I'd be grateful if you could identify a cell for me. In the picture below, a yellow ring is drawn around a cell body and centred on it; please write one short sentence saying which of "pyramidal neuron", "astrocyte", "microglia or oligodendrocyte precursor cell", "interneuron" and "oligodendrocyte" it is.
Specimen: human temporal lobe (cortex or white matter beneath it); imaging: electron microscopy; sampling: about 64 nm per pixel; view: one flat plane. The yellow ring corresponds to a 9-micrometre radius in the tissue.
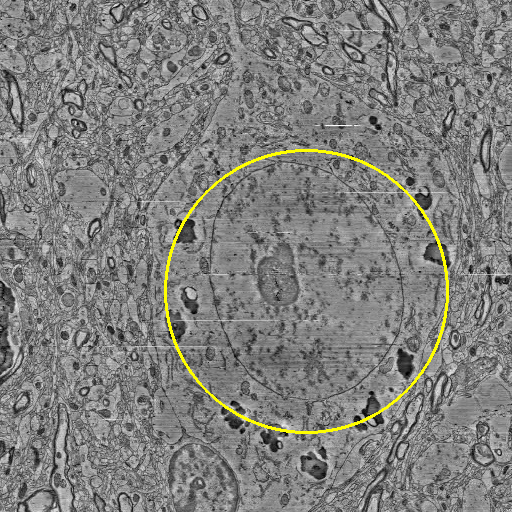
The cell under the ring's centre is a pyramidal neuron.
